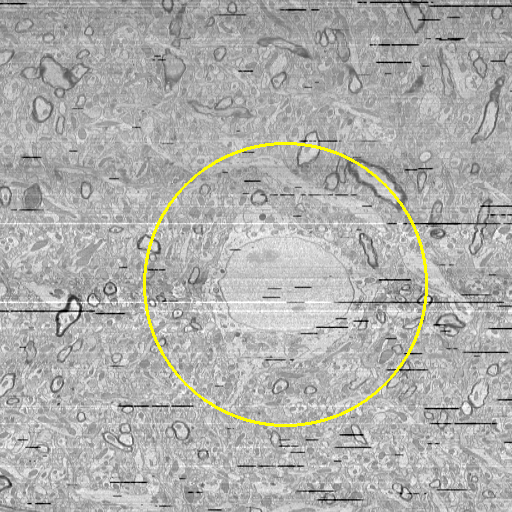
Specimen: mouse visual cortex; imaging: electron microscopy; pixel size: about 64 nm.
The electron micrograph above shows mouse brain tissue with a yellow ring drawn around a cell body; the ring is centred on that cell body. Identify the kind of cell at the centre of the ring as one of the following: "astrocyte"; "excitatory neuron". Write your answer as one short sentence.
The cell at the centre of the ring is an excitatory neuron.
